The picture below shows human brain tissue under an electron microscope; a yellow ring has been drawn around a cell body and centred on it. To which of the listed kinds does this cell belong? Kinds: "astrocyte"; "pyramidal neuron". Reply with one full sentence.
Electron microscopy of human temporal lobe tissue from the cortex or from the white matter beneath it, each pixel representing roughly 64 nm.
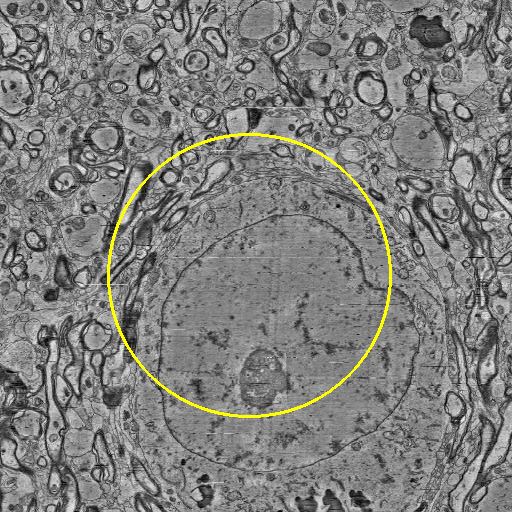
It is a pyramidal neuron that the yellow ring in the picture is centred on.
